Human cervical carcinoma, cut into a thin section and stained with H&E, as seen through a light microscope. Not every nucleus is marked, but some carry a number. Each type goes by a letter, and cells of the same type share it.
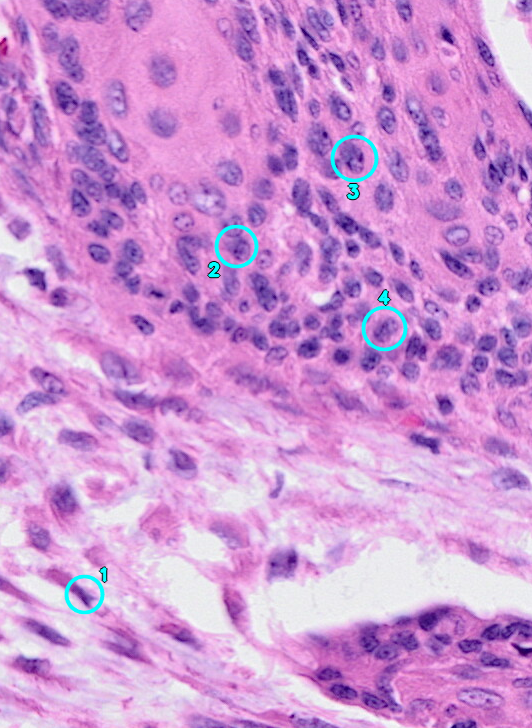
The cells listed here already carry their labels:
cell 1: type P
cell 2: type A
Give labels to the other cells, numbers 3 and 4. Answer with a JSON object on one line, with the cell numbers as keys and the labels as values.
{"3": "type A", "4": "type A"}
